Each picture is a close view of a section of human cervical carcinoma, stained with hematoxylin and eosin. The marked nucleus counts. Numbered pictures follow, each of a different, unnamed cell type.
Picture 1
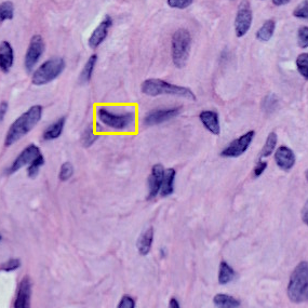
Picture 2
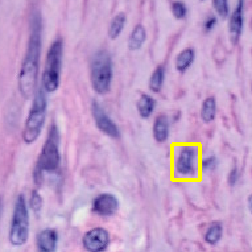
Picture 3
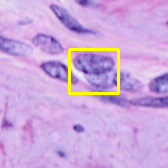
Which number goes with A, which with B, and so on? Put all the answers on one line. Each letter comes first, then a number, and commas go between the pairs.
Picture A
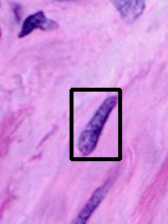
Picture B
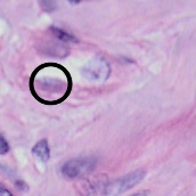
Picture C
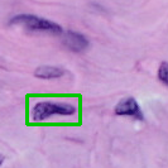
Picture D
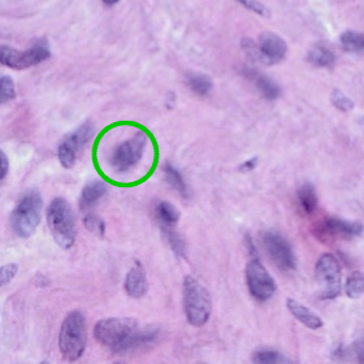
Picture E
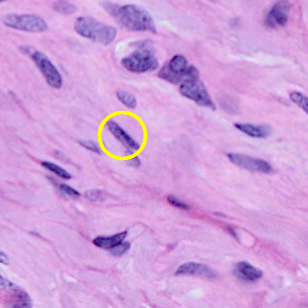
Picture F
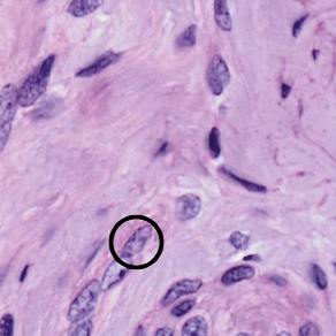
A 1, B 3, C 1, D 1, E 1, F 3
